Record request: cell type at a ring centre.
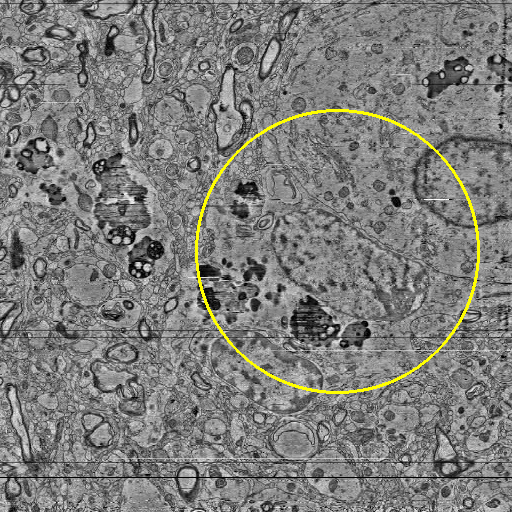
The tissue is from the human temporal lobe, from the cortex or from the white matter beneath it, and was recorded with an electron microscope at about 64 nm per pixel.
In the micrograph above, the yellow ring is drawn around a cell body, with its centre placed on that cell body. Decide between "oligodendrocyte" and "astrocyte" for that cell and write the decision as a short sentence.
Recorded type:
The cell centred in the yellow ring is an astrocyte.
